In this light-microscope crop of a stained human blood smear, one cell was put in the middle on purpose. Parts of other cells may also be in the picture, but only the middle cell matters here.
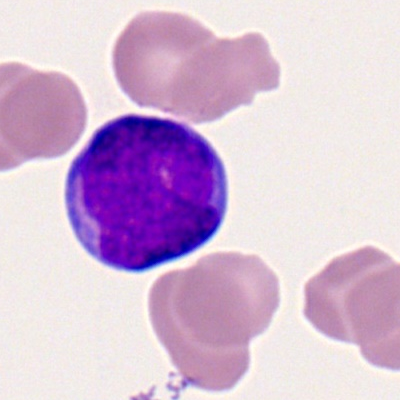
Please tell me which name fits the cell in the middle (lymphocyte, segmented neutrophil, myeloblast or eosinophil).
myeloblast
